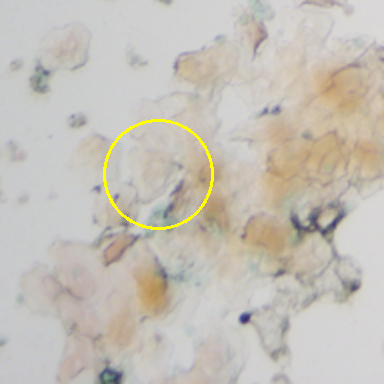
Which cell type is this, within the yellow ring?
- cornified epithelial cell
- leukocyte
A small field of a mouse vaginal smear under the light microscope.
Within the ring is a cornified epithelial cell.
